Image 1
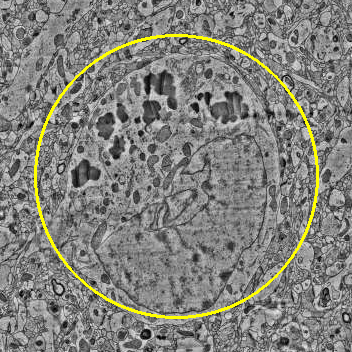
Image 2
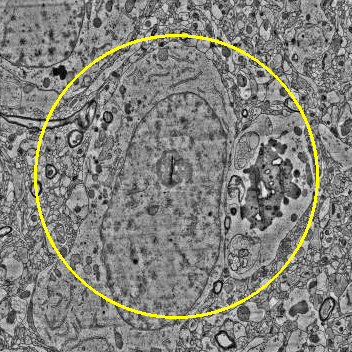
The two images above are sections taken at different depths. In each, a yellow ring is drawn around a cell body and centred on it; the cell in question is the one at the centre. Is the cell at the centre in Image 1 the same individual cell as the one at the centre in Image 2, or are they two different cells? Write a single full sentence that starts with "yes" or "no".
No, the rings mark two cells rather than a single cell.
